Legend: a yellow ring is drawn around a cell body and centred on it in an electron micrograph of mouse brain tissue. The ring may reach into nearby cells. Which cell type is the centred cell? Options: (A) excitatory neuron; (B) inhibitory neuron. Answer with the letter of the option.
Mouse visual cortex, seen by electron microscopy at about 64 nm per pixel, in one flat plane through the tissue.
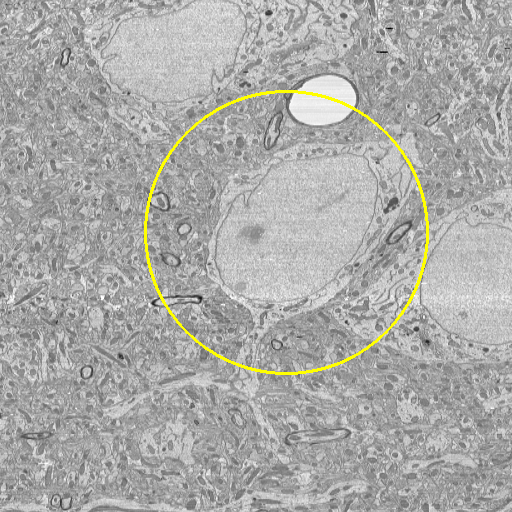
B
